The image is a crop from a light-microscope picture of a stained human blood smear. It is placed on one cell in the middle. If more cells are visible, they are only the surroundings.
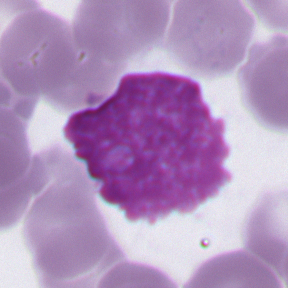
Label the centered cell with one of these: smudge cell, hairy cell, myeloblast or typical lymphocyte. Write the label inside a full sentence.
What the crop centres on is a smudge cell.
